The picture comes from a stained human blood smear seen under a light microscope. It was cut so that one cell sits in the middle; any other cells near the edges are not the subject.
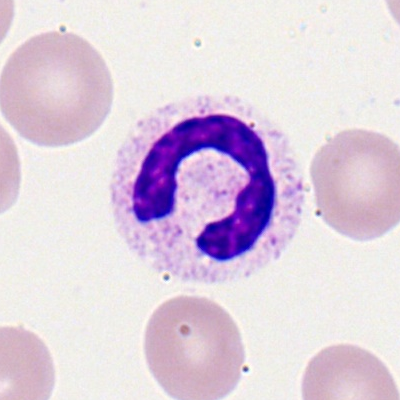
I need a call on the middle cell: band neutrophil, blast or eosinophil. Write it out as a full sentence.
The single cell at the center of the crop is a band neutrophil.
